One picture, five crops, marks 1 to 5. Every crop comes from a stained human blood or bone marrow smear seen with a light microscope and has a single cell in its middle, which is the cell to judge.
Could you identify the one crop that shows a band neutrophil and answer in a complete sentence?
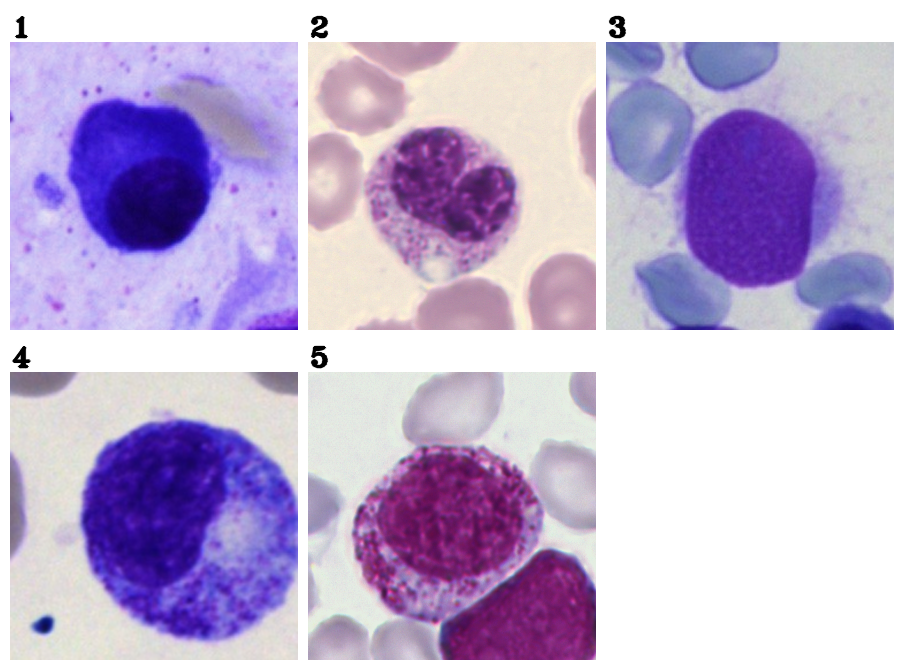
In this set, crop 2 is the one showing a band neutrophil.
